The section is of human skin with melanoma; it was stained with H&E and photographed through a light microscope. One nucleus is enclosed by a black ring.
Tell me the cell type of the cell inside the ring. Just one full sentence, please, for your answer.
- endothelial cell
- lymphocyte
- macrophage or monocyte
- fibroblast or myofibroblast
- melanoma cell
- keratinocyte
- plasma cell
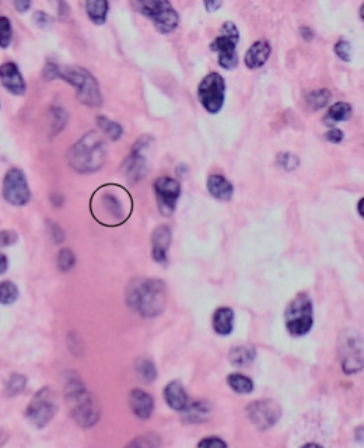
Just put down that the cell inside the ring is an endothelial cell.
